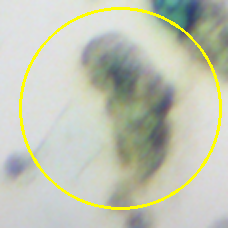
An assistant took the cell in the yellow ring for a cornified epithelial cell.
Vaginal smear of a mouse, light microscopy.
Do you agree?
I agree, it is a cornified epithelial cell.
